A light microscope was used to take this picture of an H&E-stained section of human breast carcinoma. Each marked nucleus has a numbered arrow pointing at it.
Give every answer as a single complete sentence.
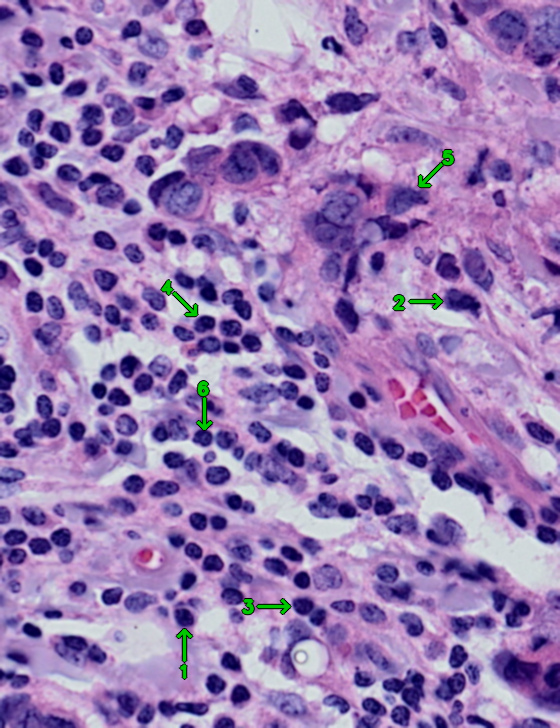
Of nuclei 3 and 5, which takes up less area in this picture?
It is nucleus 3; nucleus 5 has about 2 times its area.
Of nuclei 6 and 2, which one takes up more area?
The larger nucleus is 2, at roughly 2.5 times the area of 6.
